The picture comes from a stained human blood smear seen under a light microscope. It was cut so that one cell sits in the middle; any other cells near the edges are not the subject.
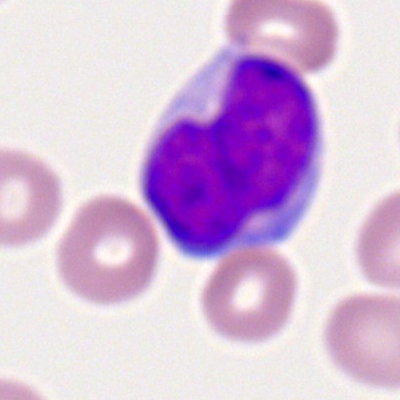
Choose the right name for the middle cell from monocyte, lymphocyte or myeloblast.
myeloblast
